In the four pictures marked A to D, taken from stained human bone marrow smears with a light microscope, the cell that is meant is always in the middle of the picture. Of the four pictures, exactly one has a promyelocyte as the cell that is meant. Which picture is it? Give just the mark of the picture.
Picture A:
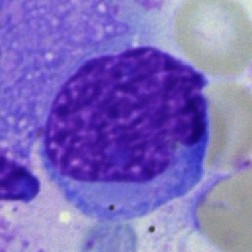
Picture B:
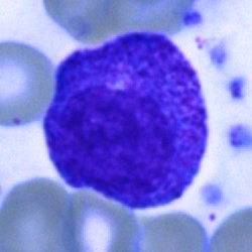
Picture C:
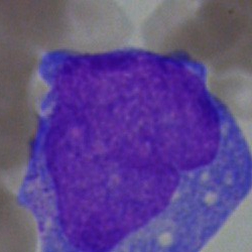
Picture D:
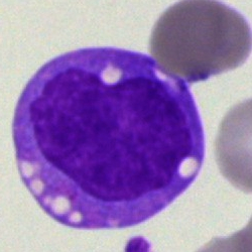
B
